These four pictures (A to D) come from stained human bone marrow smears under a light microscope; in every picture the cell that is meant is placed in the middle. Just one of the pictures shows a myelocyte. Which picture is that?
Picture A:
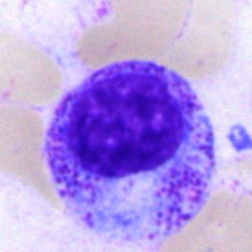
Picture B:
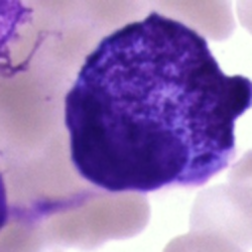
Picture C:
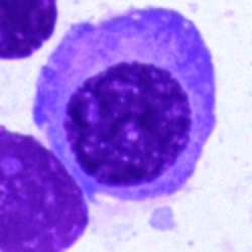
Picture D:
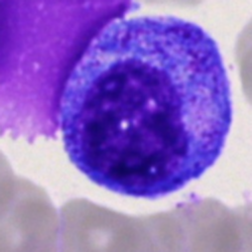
A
